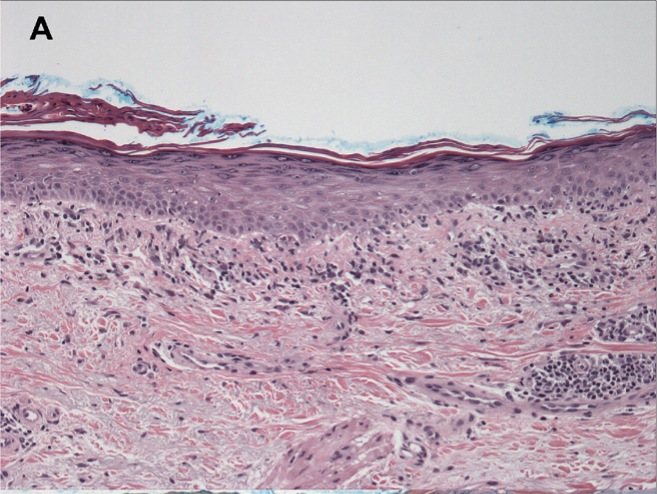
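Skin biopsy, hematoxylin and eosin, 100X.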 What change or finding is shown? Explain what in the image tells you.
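Dark inflammatory cell nuclei crowd along and just beneath the junction of epidermis and dermis. The line between the basal epidermis and the upper dermis is blurred by these cells. On this evidence: interface dermatitis.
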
